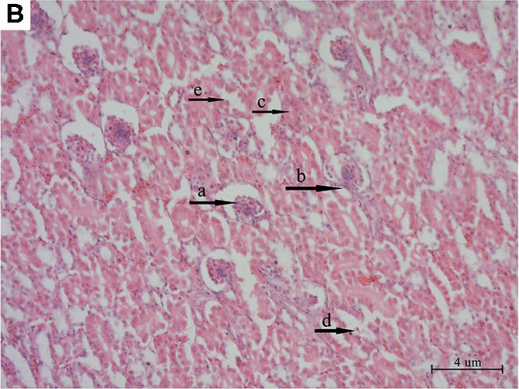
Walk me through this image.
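This is kidney cortex with several glomeruli lying among densely packed tubules. Many glomerular tufts are small and rounded, separated from their capsules by wide clear spaces. The tubules are lined by cells with deep pink cytoplasm, and their lumens are mostly narrow or hard to make out. Elongated clefts run between tubule profiles in a roughly parallel pattern. Scattered red blood cells are present between the tubules.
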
